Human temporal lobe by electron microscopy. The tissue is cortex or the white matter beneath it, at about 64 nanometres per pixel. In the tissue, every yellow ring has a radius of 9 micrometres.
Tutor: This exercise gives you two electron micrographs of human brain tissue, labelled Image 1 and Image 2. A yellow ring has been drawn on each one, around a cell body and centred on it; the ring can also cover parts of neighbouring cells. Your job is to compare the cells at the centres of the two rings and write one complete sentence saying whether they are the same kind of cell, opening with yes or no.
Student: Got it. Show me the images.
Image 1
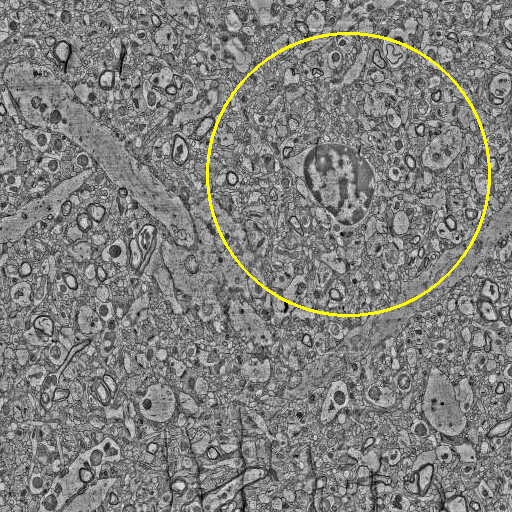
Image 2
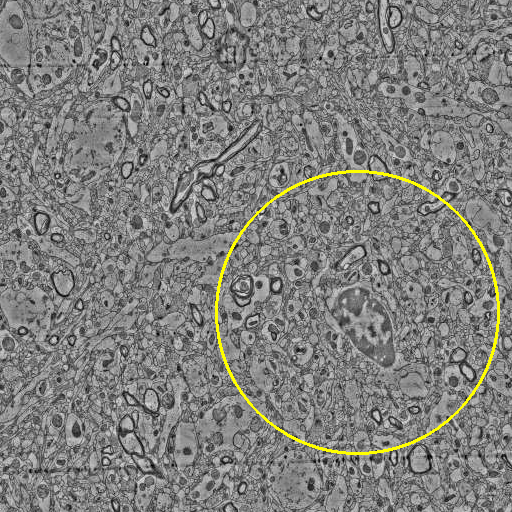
Yes, the two cells belong to the same kind.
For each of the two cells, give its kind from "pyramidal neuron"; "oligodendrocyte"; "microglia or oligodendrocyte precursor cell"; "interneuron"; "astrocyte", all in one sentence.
The cell in the first picture is a microglial cell or oligodendrocyte precursor cell, and so is the one in the second.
